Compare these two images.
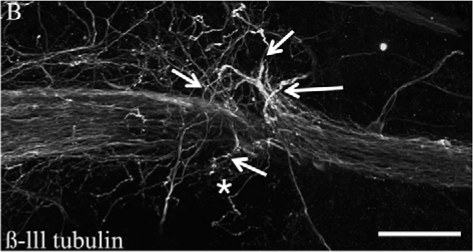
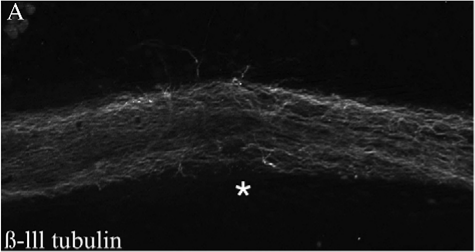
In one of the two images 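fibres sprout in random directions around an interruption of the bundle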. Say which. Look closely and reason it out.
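The first image. First image: a tangle of bright fibres branching in many directions at a break in the bundle. Second image: fibres run in a continuous, roughly parallel bundle across the field.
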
